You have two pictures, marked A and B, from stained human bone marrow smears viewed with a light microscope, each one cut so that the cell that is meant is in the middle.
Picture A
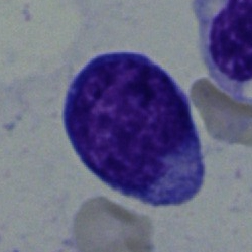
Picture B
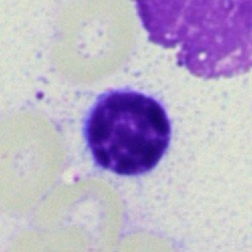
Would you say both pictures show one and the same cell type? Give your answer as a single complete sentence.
No; the cell in picture A is a blast, while the one in picture B is a lymphocyte.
